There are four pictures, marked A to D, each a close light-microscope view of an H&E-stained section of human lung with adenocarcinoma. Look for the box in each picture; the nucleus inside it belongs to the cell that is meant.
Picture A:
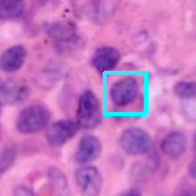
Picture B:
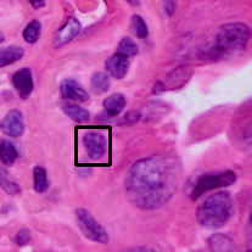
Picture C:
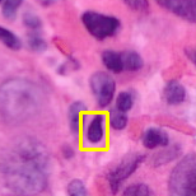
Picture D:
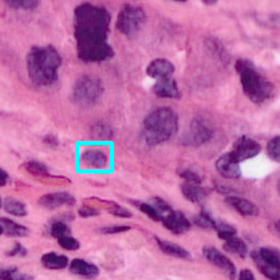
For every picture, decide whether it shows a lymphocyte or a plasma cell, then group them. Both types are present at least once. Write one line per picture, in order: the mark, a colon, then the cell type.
A: plasma cell
B: lymphocyte
C: lymphocyte
D: lymphocyte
